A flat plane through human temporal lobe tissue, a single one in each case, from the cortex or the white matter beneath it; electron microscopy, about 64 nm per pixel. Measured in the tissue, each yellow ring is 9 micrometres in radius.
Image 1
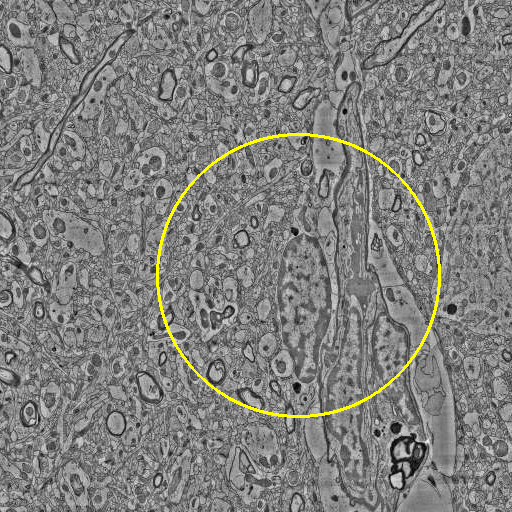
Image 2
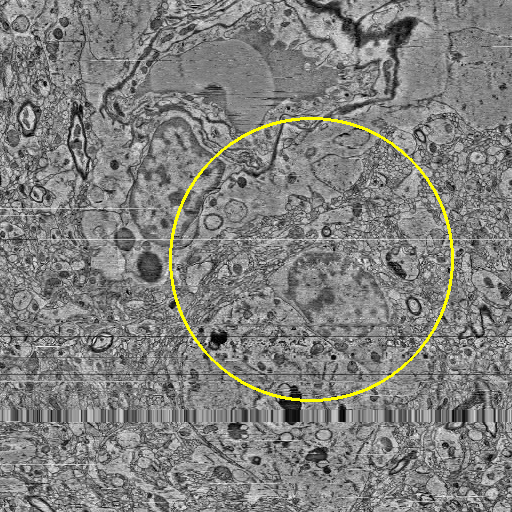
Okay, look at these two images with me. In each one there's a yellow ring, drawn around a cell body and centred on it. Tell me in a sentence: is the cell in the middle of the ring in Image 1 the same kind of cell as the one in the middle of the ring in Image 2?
No, they're two kinds of cell.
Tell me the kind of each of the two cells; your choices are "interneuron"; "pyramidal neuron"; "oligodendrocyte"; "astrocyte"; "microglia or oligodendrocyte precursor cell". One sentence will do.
The ringed cell is a microglial cell or oligodendrocyte precursor cell in the first picture and an oligodendrocyte in the second picture.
